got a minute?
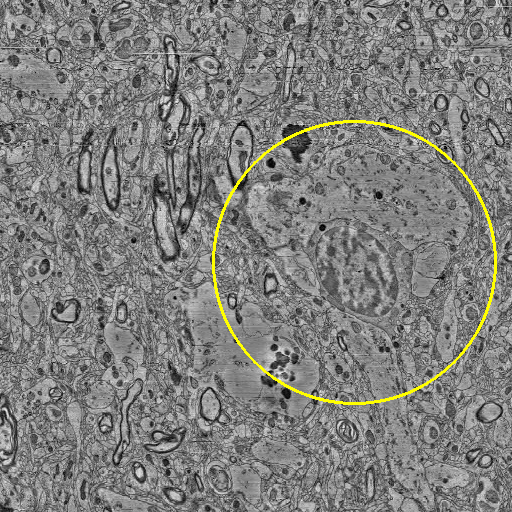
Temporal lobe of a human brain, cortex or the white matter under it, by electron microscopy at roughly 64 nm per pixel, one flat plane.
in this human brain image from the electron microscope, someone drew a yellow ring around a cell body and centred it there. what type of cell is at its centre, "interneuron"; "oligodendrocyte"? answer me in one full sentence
It's an oligodendrocyte at the middle of that yellow ring in the shot.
